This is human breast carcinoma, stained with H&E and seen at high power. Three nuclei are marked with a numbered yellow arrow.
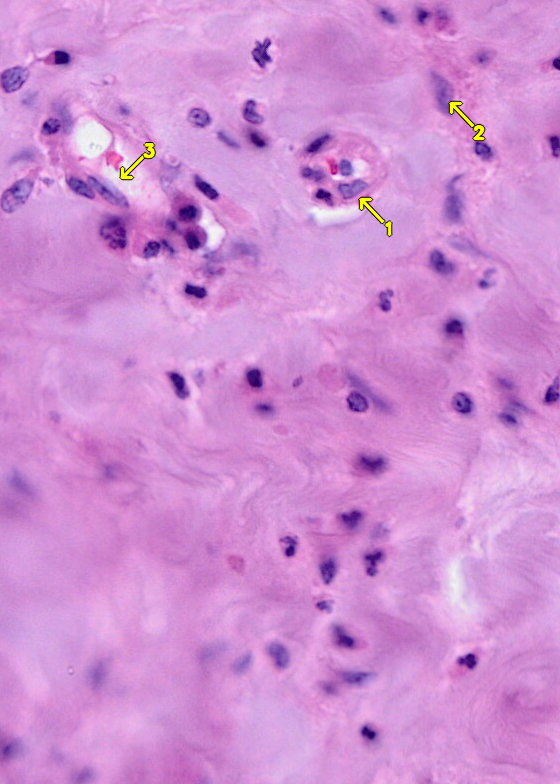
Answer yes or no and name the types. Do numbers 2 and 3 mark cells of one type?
No, cell 2 is a fibroblast, and cell 3, for its part, is an endothelial cell.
